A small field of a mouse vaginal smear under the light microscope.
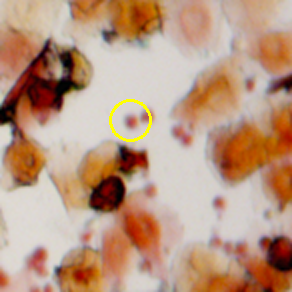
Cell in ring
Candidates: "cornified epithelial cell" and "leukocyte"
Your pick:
leukocyte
